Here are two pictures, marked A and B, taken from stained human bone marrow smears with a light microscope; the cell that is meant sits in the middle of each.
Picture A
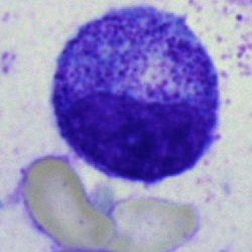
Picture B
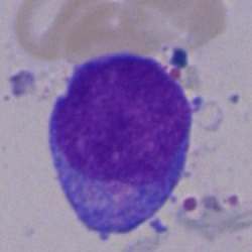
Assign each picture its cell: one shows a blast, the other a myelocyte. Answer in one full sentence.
It is picture A that shows a myelocyte, and picture B that shows a blast.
